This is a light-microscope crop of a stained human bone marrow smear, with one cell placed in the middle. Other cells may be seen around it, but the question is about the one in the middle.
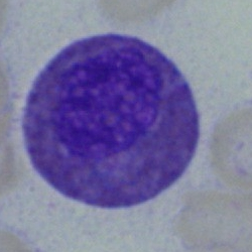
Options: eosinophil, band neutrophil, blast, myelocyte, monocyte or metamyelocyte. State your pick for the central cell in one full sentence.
Located at the centre of the crop is an eosinophil.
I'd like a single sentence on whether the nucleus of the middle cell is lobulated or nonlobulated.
Please observe that the nucleus consists of one compact round, oval or kidney-shaped mass.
